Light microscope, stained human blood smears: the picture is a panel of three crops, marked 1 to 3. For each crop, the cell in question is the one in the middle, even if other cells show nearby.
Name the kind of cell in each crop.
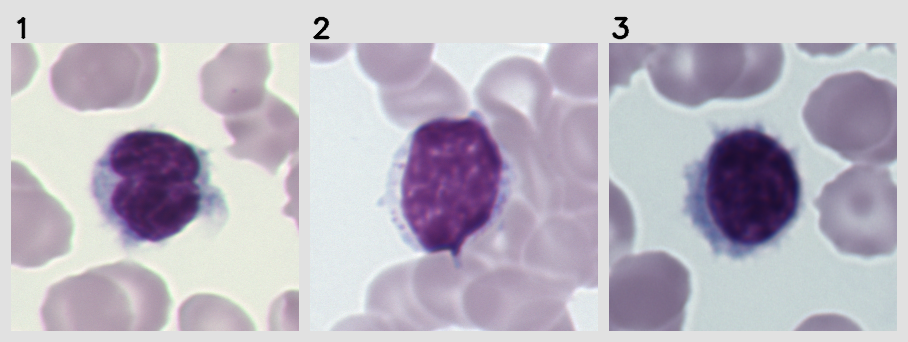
1: hairy cell
2: large granular lymphocyte
3: hairy cell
